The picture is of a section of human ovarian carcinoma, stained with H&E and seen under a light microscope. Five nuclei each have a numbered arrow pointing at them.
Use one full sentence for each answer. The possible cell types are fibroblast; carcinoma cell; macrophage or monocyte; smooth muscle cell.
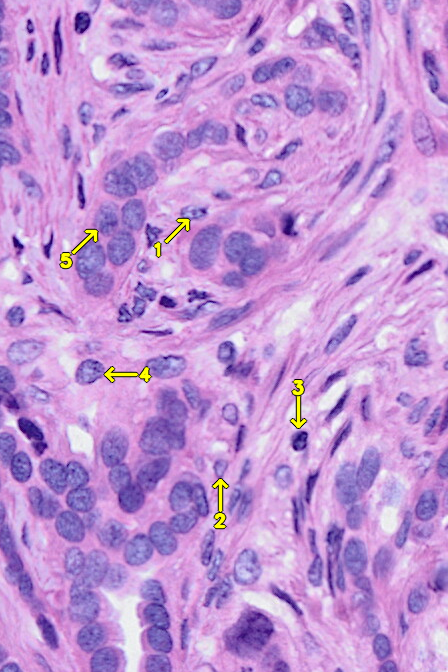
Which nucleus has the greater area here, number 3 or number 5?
Of the two, number 5 is bigger and takes up about 1.5 times the area of number 3.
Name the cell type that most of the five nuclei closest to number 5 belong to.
Carcinoma cells account for more than half of the five nuclei nearest to number 5.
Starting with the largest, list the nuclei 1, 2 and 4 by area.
The nuclei rank 4, 1, 2, from largest to smallest.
